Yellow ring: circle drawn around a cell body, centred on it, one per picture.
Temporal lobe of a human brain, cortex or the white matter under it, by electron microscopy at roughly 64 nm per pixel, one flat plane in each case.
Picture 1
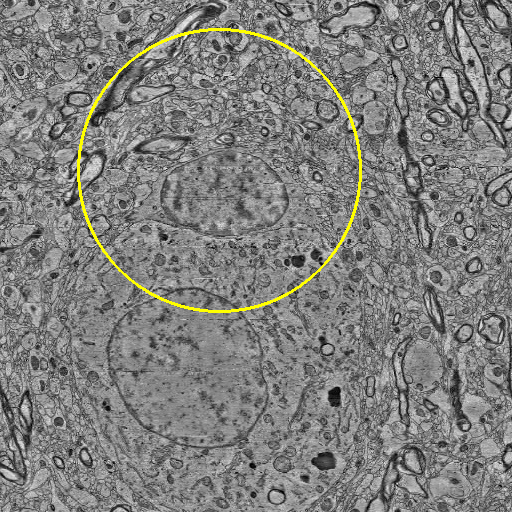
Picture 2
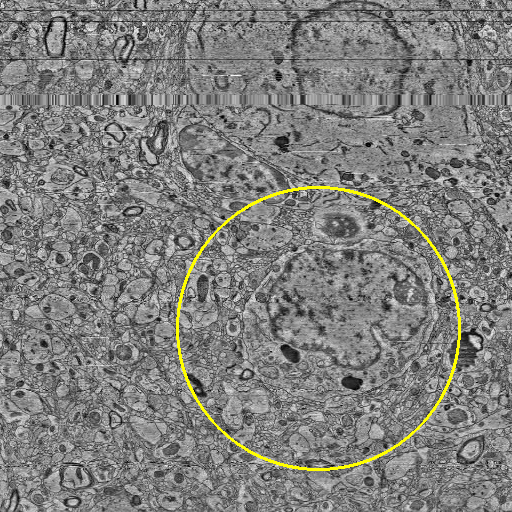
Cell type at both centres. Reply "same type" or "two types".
two types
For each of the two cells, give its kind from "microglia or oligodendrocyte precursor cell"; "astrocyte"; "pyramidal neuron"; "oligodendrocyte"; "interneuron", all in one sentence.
The first picture has an oligodendrocyte in its ring, the second has an interneuron.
